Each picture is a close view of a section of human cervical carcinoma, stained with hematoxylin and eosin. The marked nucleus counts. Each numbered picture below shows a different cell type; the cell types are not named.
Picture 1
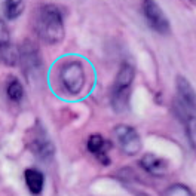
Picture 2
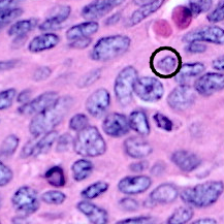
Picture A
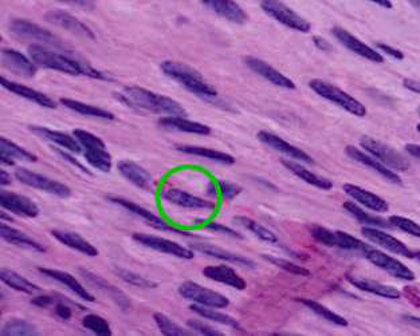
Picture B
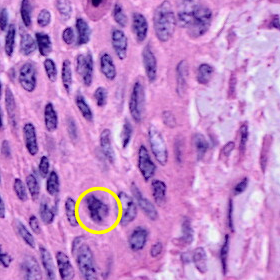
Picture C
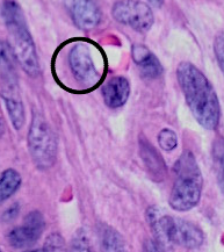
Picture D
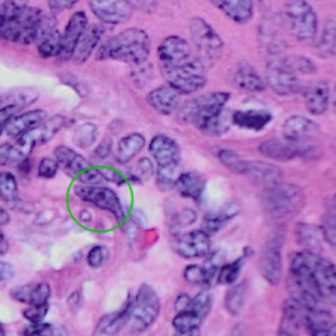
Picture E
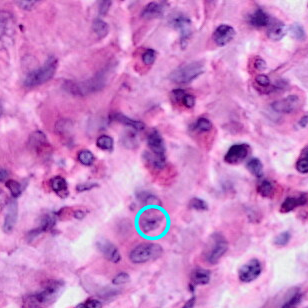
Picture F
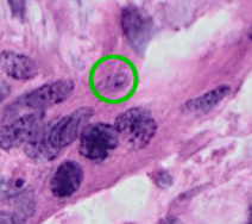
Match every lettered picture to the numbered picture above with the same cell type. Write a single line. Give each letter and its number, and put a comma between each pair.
A 1, B 2, C 1, D 1, E 1, F 2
